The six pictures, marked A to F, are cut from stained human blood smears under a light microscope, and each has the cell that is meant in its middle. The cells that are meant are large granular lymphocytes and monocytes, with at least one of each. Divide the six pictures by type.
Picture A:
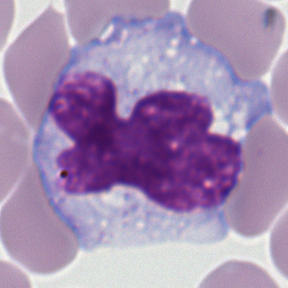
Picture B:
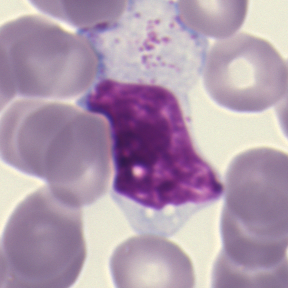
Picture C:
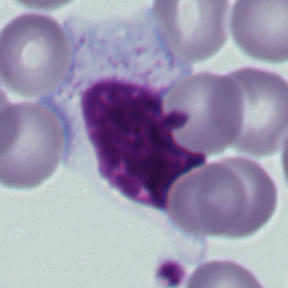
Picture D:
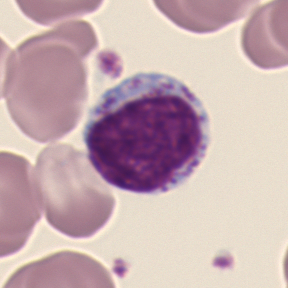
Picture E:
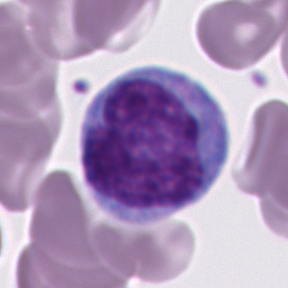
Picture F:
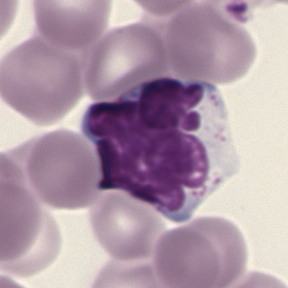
A: monocyte
B: large granular lymphocyte
C: large granular lymphocyte
D: large granular lymphocyte
E: monocyte
F: large granular lymphocyte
